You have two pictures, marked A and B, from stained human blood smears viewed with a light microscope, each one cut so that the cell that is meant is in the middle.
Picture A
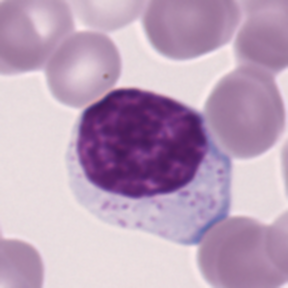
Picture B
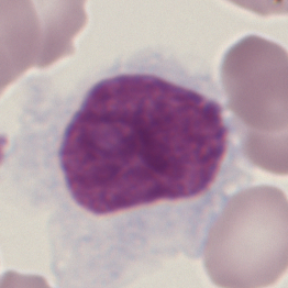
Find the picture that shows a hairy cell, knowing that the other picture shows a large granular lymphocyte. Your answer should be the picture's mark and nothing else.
B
